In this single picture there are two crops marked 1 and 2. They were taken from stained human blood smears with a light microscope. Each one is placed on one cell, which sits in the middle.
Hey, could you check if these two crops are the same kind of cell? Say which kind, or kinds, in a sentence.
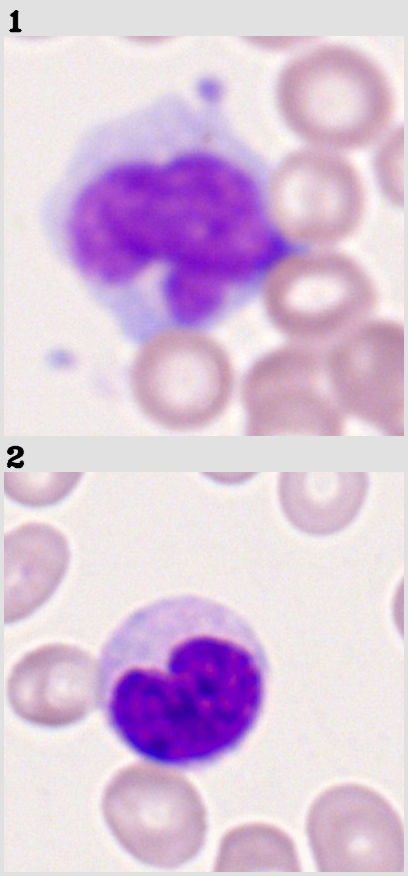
No, a monocyte and a lymphocyte are found in crop 1 and crop 2, respectively.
